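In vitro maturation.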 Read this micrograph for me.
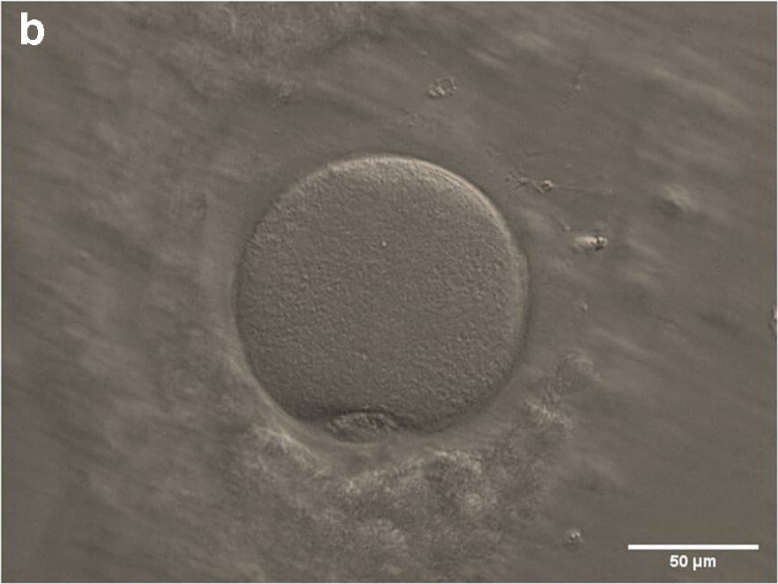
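A large round oocyte with evenly granular ooplasm lies within an expanded cumulus-oocyte complex. A small flattened polar body sits at its lower edge, just outside the ooplasm. Around the oocyte, a loose, widely spread veil of cumulus cells and matrix fills much of the field.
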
